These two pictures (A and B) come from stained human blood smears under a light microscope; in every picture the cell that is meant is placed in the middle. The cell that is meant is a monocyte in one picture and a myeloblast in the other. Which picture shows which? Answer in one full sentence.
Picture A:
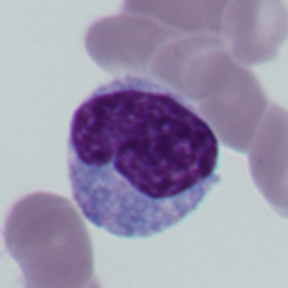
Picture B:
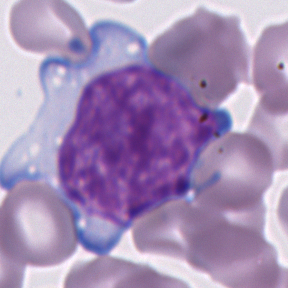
It is picture A that shows a monocyte, and picture B that shows a myeloblast.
